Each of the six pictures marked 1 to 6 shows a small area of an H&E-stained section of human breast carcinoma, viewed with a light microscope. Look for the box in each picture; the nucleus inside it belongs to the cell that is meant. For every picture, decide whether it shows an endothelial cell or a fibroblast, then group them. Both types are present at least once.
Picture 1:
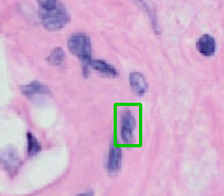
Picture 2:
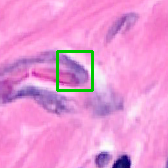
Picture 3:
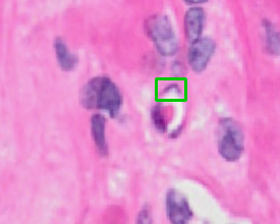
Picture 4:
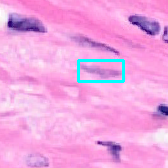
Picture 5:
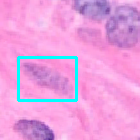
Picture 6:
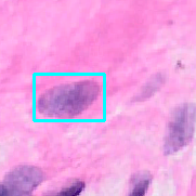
1: endothelial cell
2: endothelial cell
3: endothelial cell
4: fibroblast
5: fibroblast
6: fibroblast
